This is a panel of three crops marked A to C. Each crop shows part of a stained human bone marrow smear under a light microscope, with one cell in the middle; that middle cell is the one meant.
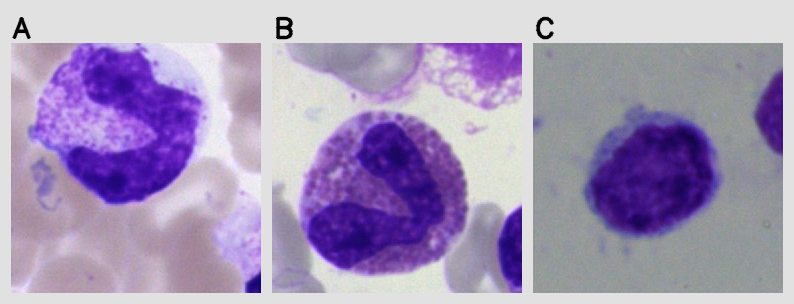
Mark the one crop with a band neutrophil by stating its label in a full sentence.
The one crop in the set with a band neutrophil is crop A.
